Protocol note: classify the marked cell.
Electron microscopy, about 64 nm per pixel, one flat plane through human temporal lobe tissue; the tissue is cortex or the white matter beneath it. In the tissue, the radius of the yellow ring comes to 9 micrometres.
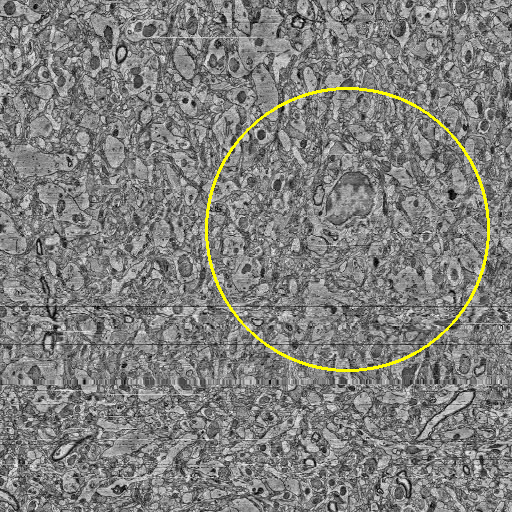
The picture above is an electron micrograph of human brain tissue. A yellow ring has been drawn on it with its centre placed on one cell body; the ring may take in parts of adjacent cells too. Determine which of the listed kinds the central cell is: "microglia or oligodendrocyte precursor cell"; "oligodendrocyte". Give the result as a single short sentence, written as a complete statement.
The central cell is a microglial cell or oligodendrocyte precursor cell.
